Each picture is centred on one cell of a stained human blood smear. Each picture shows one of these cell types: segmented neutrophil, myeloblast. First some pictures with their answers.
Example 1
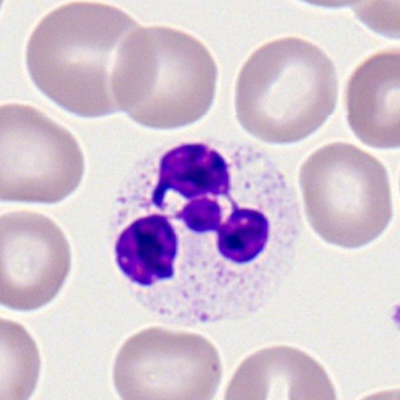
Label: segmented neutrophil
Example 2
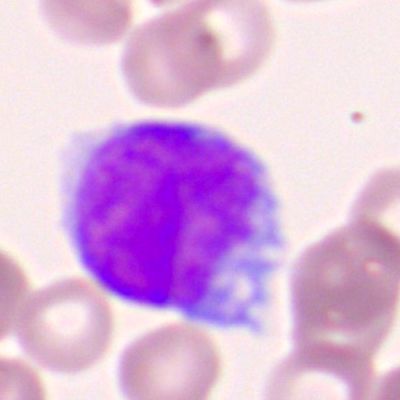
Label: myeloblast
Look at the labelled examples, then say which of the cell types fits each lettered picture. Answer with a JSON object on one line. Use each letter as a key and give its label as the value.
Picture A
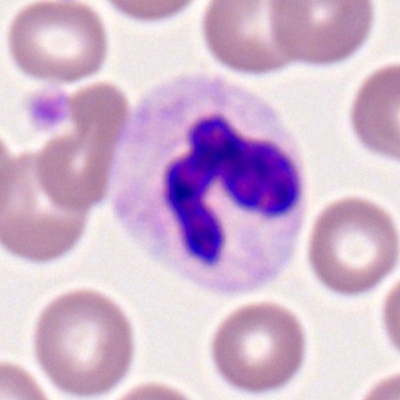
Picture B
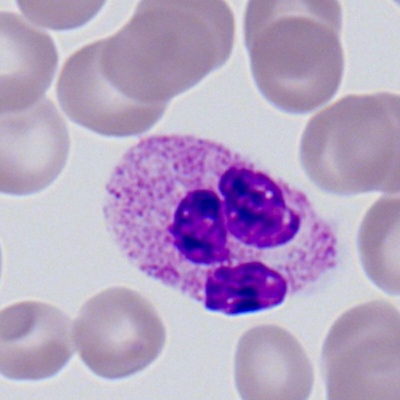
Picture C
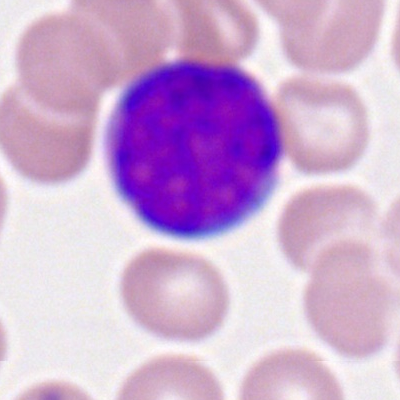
{"A": "segmented neutrophil", "B": "segmented neutrophil", "C": "myeloblast"}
